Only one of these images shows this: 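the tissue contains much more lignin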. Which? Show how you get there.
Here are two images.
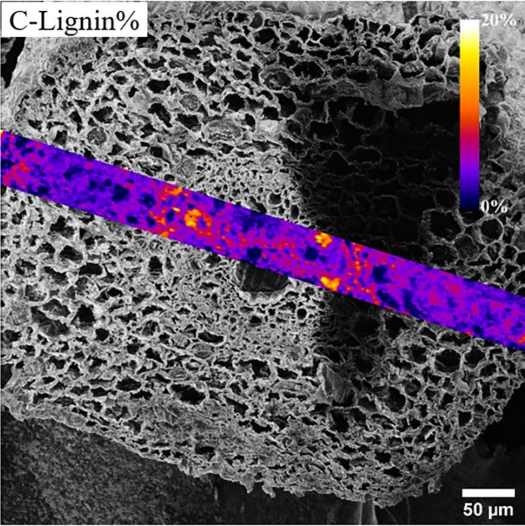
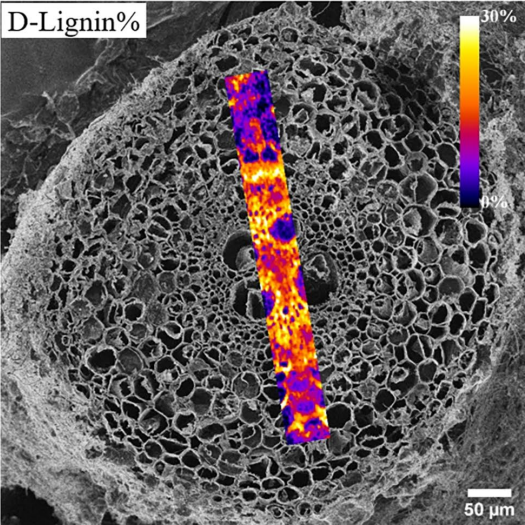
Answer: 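The second image. Second image: the mapped strip is largely yellow and orange. First image: the mapped strip is mostly purple with only scattered yellow spots.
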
